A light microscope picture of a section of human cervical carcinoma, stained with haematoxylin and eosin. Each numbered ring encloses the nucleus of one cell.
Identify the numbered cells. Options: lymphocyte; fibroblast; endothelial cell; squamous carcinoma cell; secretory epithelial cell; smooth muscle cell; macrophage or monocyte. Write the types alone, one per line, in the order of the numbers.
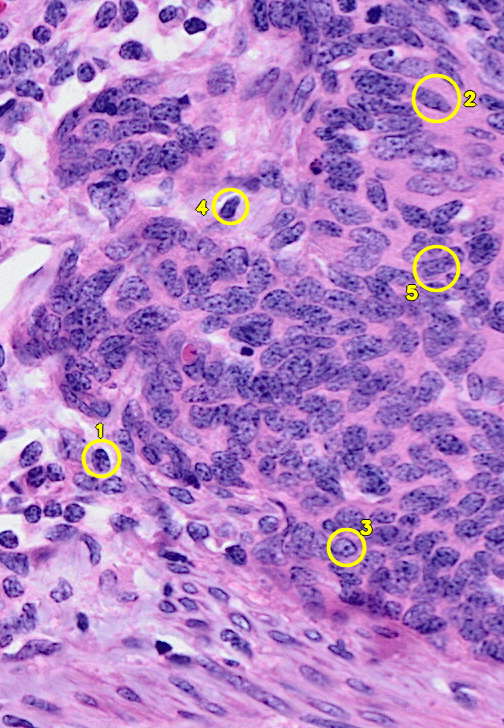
lymphocyte
squamous carcinoma cell
squamous carcinoma cell
lymphocyte
squamous carcinoma cell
